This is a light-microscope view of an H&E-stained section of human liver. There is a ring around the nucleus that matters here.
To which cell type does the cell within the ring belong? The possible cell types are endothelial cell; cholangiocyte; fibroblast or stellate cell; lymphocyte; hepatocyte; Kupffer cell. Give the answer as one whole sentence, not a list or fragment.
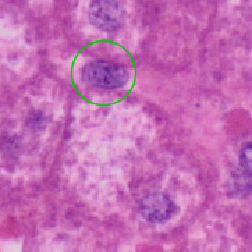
In short, the cell within the ring on this section is an endothelial cell.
